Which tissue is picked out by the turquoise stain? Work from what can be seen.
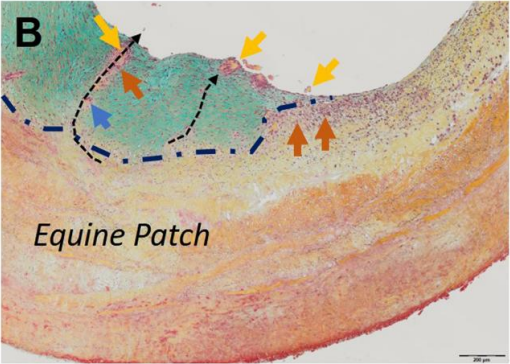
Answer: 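A turquoise-staining tissue layer lies on the luminal side. It sits above the yellow-orange patch material, separated by a dashed line. On this evidence: pannus.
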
